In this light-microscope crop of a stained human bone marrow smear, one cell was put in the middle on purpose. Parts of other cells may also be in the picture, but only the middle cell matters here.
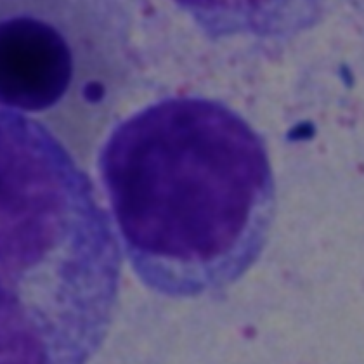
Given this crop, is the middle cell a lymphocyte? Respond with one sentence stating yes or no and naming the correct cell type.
Yes, the cell occupying the center is a lymphocyte.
